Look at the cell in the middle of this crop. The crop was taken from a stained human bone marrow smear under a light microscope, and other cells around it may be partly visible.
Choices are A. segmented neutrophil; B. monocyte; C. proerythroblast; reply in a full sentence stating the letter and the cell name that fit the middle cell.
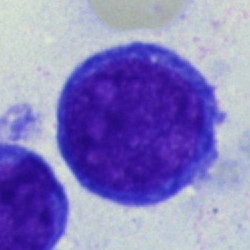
Since the cell in the centre is a proerythroblast, the correct option is C.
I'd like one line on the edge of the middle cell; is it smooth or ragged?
This cell has an uneven outline, either ragged or bearing projections.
